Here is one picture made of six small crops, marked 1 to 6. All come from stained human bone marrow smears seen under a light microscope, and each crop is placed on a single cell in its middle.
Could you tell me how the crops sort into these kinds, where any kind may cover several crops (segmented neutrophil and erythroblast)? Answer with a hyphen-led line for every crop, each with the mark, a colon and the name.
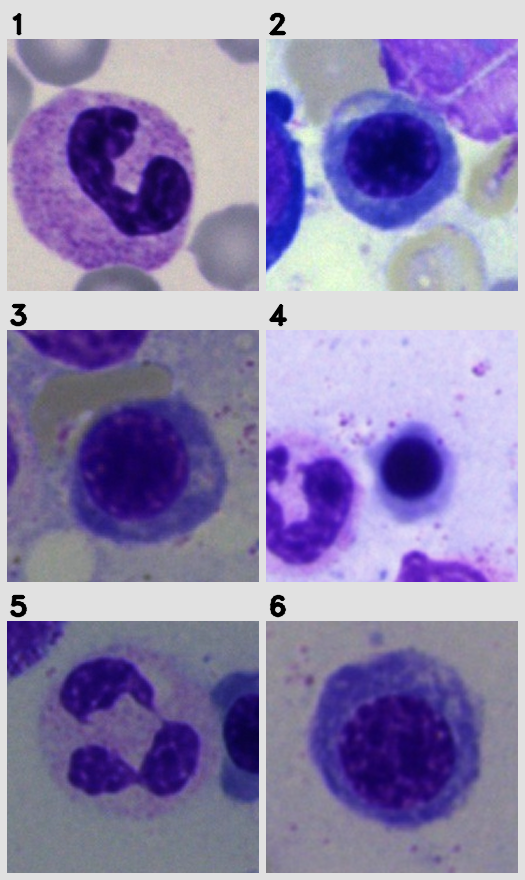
- 1: segmented neutrophil
- 2: erythroblast
- 3: erythroblast
- 4: erythroblast
- 5: segmented neutrophil
- 6: erythroblast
